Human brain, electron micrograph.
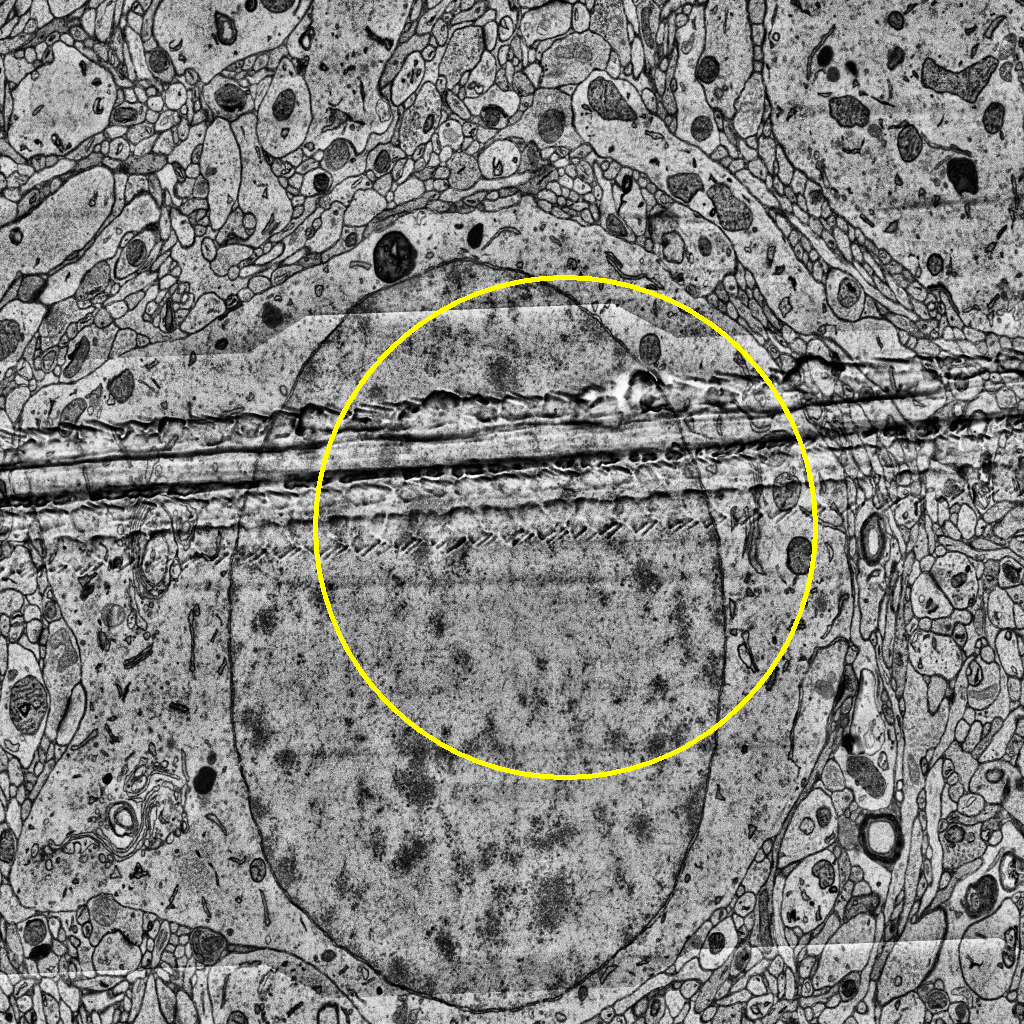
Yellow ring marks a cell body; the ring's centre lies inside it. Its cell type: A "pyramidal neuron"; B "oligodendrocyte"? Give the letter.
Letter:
A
